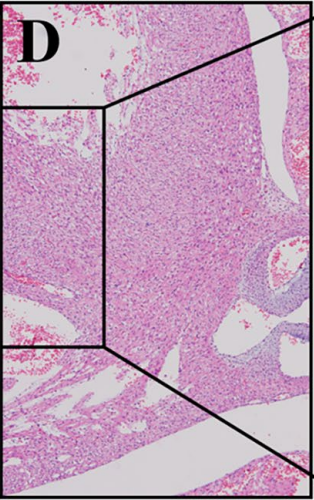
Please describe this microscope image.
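A section through the ventricular septum of the heart, seen as a broad band of dense pink muscle. The muscle is made of closely packed cardiomyocytes with small purple nuclei spread evenly through the tissue. Chamber spaces on either side contain scattered red blood cells, and the septal band is continuous without a break.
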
